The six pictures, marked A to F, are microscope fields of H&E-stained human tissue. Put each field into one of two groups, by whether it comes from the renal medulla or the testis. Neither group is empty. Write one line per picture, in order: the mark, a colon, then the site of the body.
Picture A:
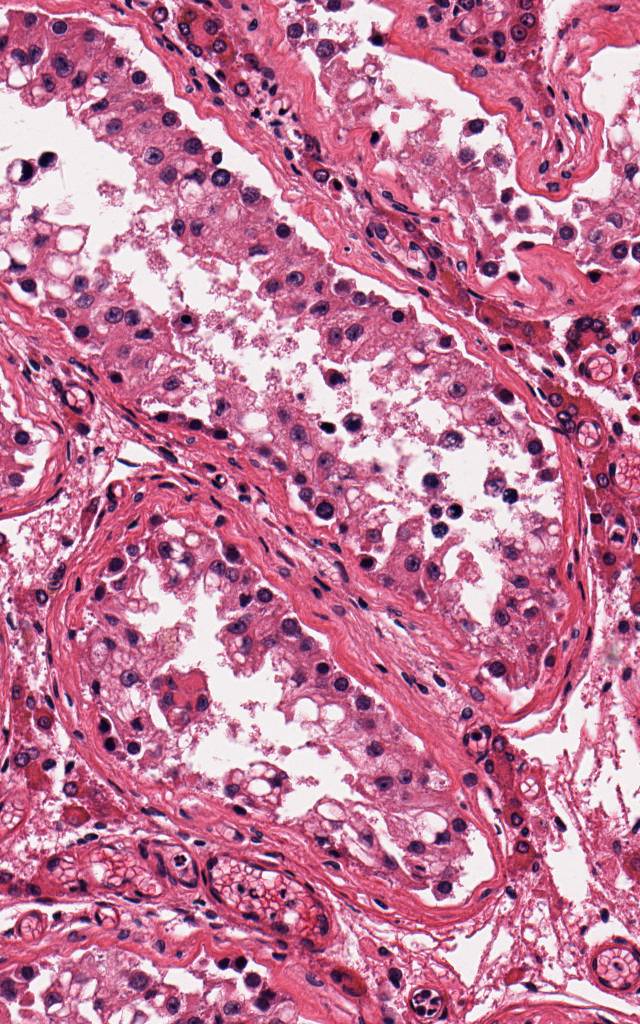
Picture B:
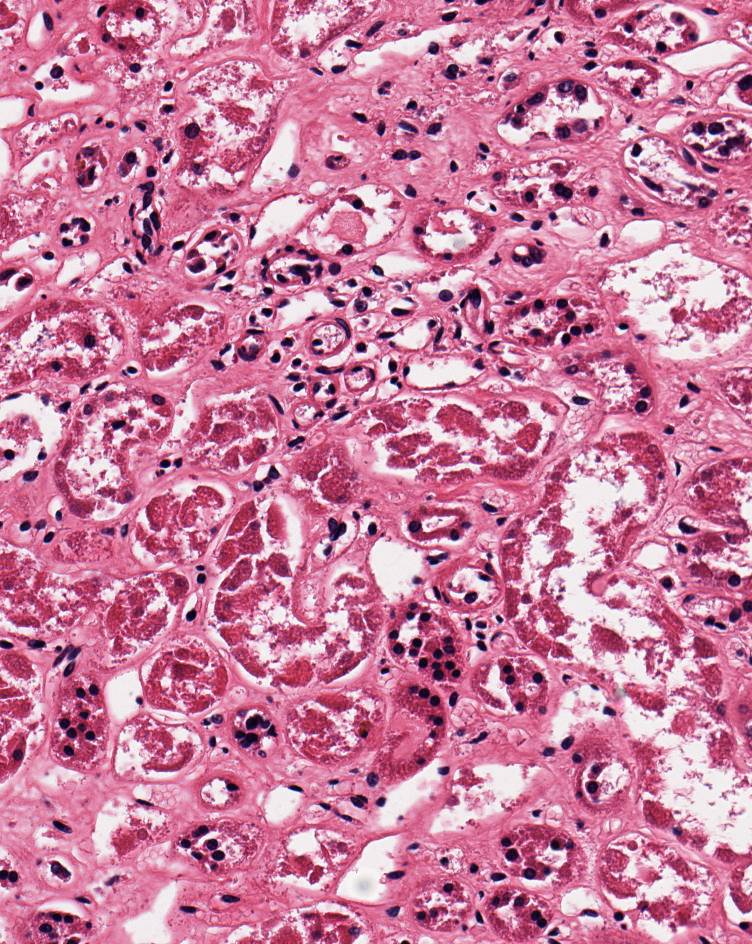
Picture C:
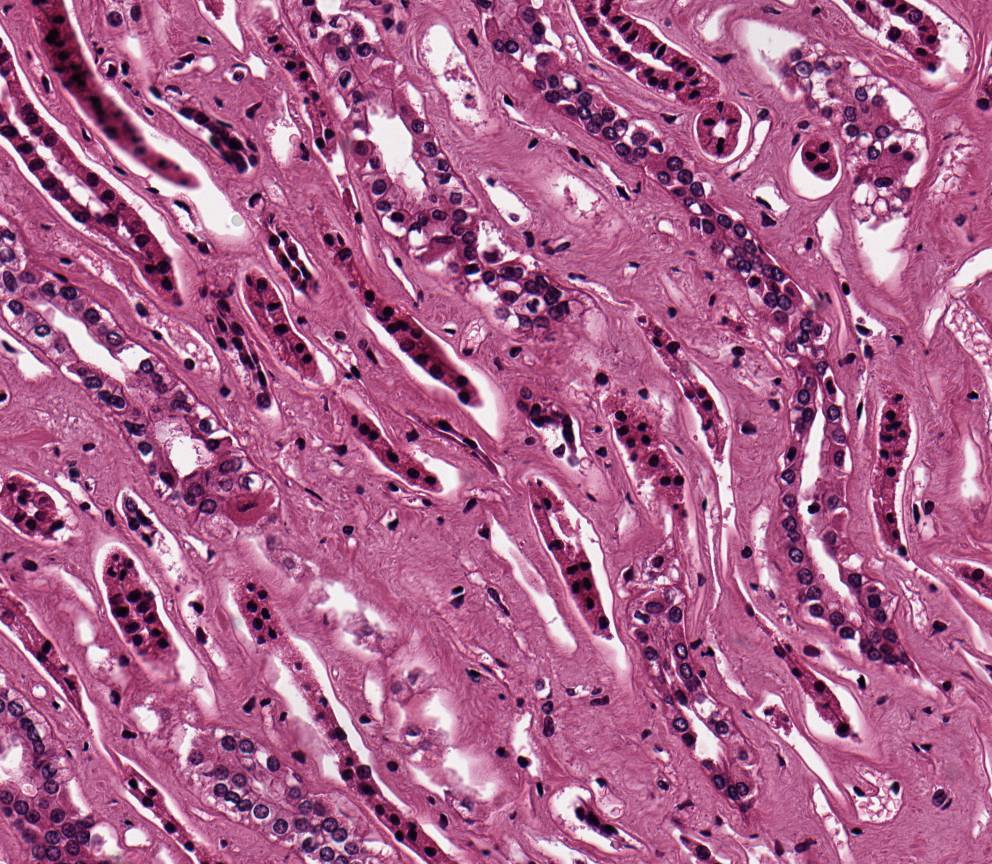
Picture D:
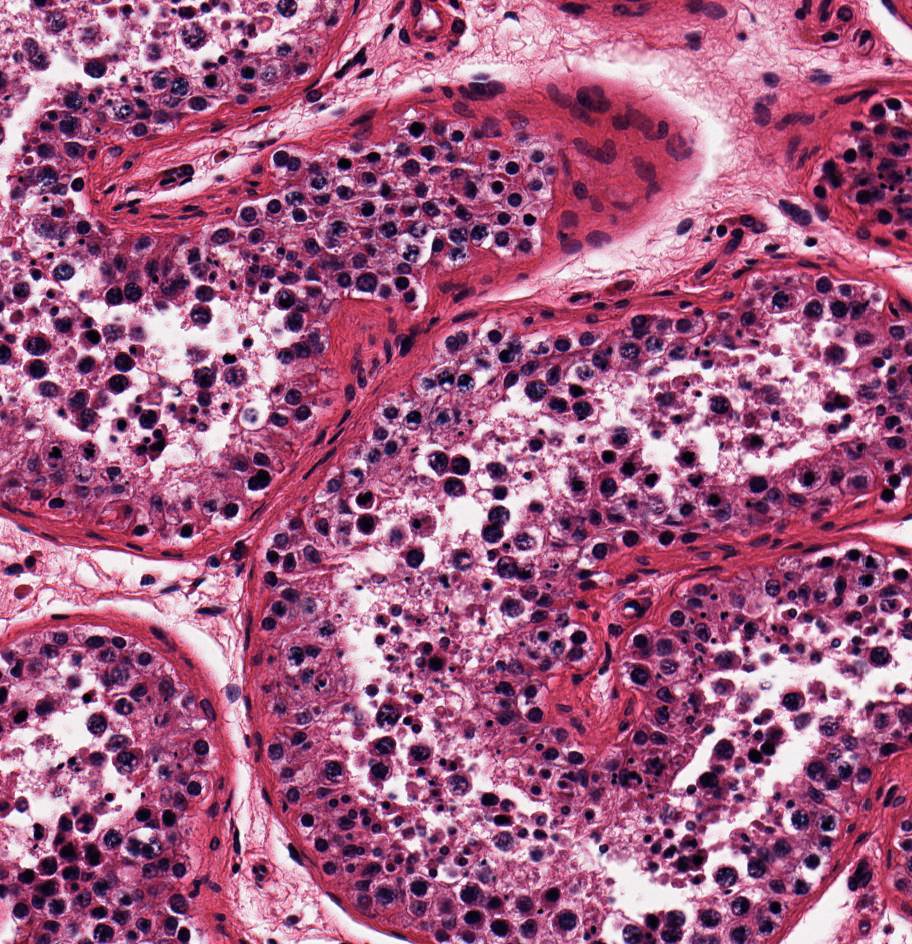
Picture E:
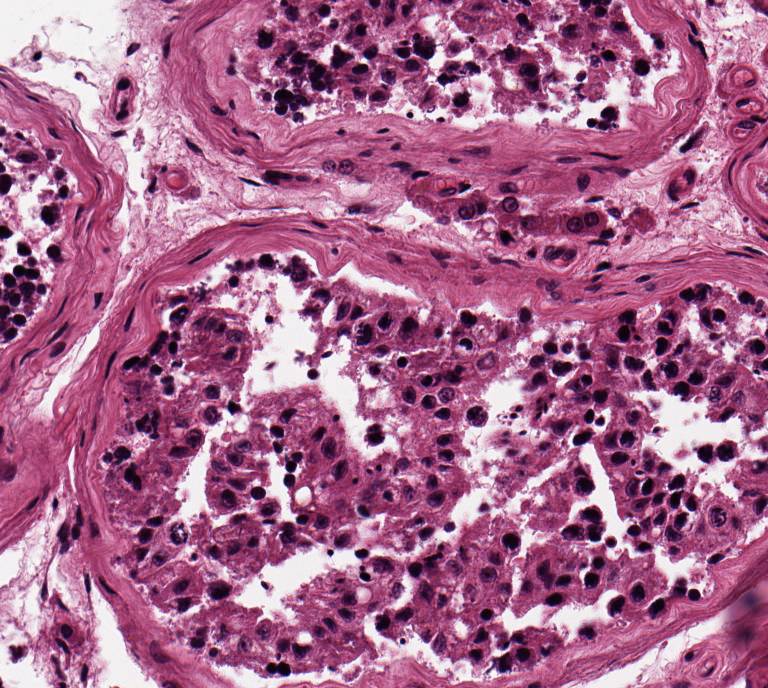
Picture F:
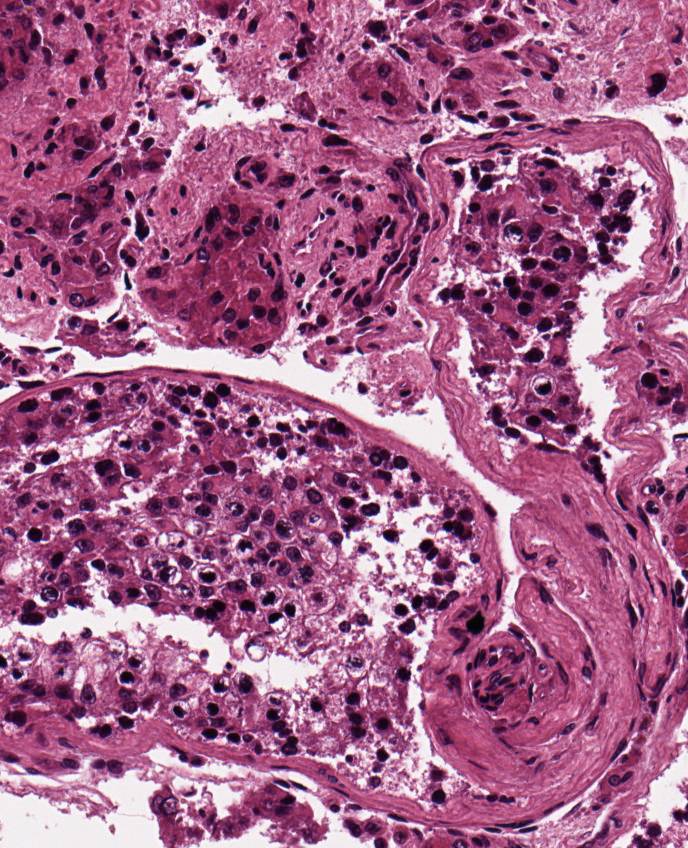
A: testis
B: renal medulla
C: renal medulla
D: testis
E: testis
F: testis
